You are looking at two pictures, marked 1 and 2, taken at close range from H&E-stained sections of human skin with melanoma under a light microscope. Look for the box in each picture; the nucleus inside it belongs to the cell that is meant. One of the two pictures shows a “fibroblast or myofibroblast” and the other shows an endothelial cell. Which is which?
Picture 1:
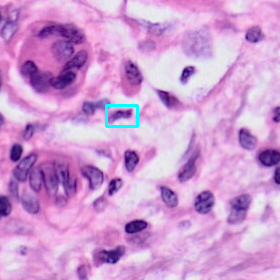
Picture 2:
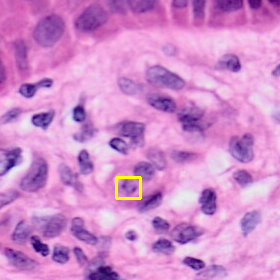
1: fibroblast or myofibroblast
2: endothelial cell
